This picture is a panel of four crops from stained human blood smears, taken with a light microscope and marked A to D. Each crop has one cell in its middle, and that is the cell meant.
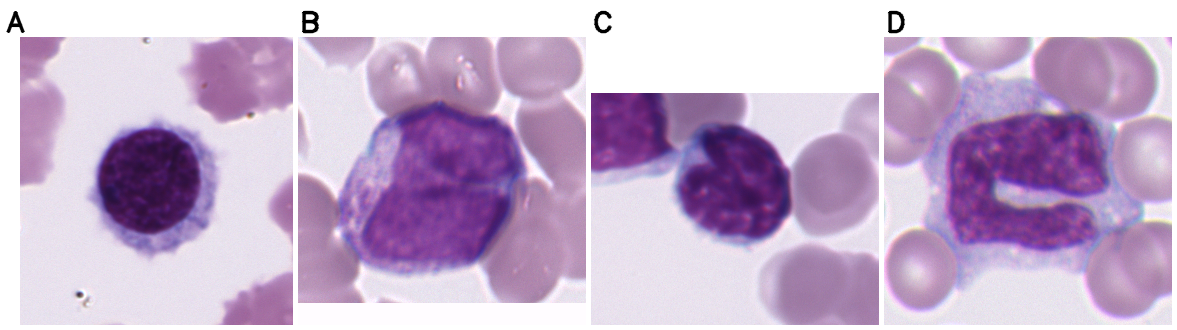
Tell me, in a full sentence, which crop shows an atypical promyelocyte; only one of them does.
That would be crop B; it shows an atypical promyelocyte.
